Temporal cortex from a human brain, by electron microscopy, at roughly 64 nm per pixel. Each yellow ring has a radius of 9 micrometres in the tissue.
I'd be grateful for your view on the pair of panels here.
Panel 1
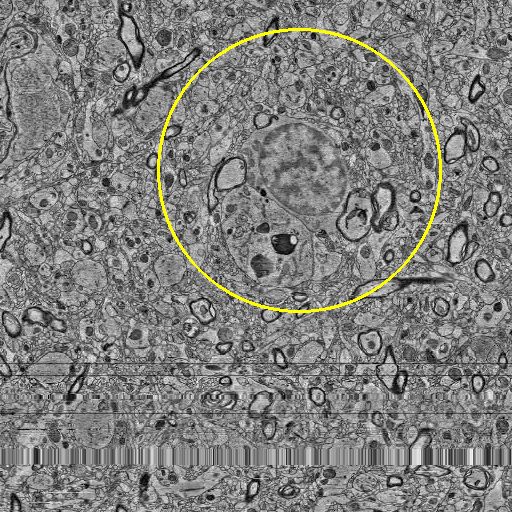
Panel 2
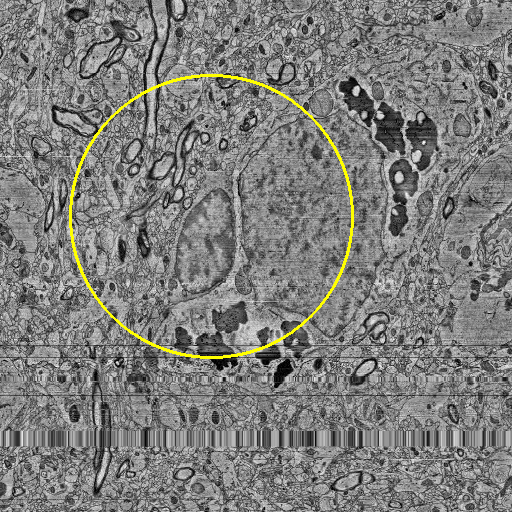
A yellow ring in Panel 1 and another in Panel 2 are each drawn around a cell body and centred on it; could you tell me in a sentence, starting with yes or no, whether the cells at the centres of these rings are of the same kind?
Yes, they are the same kind of cell.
